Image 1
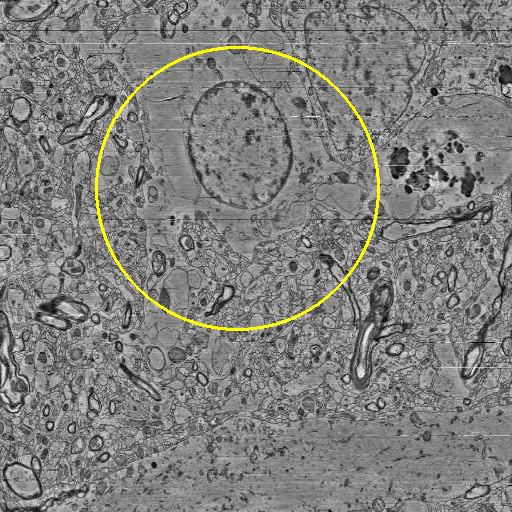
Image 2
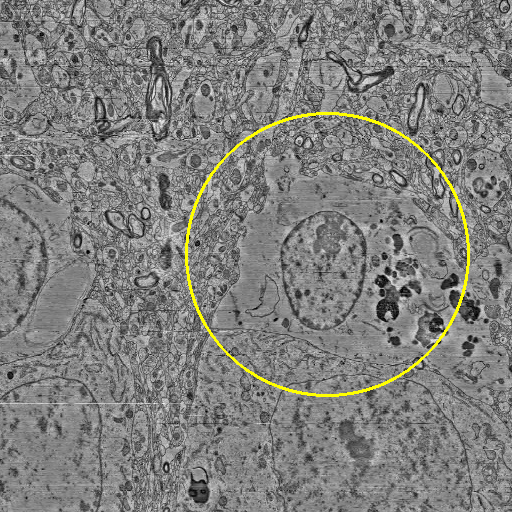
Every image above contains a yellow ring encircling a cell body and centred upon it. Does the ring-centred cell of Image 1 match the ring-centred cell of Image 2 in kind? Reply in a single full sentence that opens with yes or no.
Yes, the cell at the ring's centre in Image 1 is the same kind as that in Image 2.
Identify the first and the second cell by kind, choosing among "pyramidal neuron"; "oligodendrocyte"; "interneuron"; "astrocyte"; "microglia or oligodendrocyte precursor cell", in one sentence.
Both pictures show an astrocyte at the centre of the ring.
